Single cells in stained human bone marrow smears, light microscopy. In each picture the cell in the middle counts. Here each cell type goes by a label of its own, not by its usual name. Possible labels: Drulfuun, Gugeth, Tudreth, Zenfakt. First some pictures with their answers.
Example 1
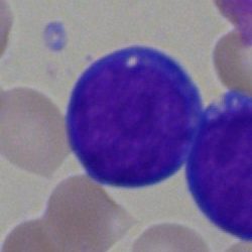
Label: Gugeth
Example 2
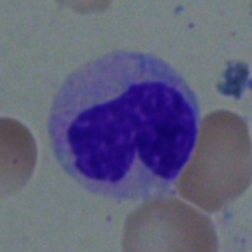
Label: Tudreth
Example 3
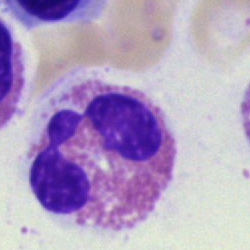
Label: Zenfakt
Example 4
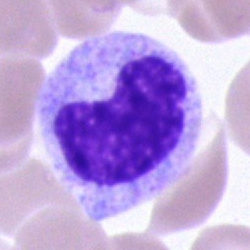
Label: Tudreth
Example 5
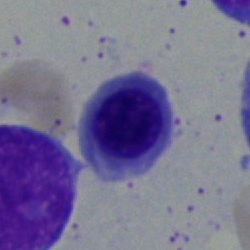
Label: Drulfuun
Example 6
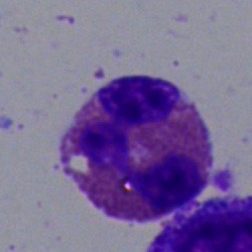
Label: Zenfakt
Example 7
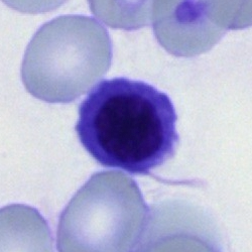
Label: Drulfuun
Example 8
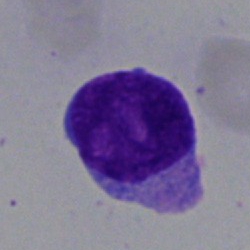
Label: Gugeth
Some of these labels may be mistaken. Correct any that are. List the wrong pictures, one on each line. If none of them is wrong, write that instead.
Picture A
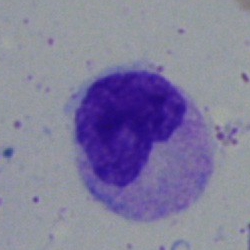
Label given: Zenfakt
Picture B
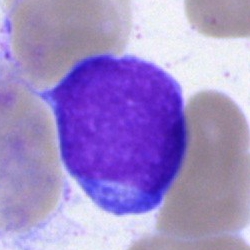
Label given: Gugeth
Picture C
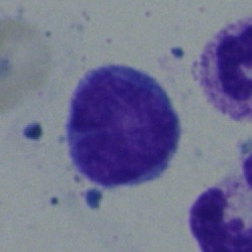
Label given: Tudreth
A should be Tudreth, not Zenfakt
C should be Gugeth, not Tudreth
